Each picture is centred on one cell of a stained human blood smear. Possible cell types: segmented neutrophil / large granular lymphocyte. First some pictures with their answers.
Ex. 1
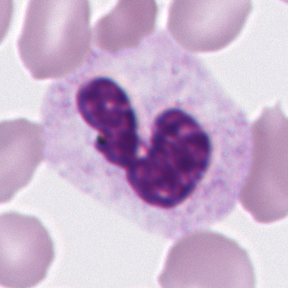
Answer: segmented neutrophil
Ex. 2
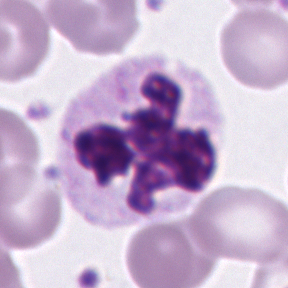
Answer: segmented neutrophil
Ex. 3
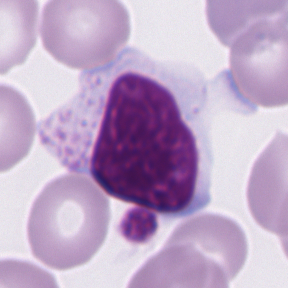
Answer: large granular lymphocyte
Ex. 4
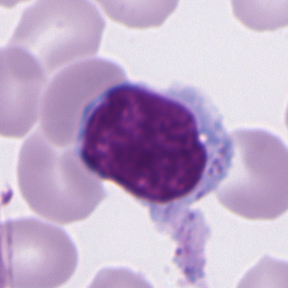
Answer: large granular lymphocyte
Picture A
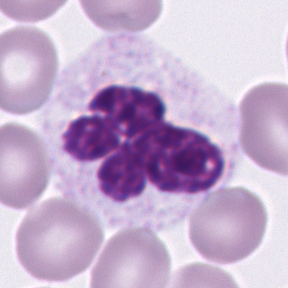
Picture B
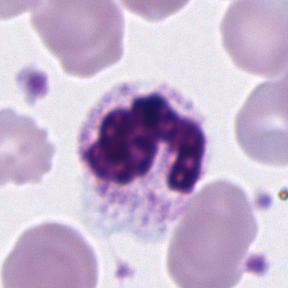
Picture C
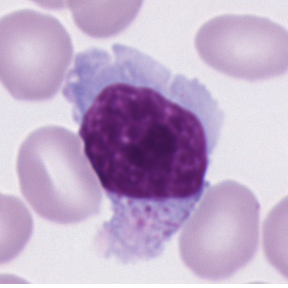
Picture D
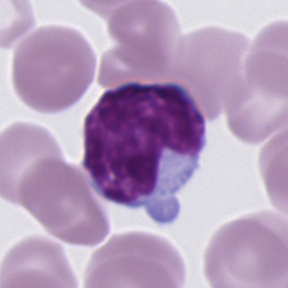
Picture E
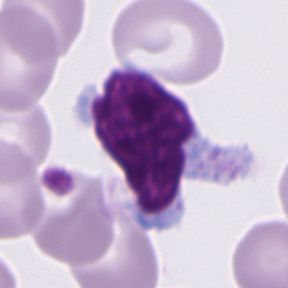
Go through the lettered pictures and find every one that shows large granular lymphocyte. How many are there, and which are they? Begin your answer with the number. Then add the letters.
Count: 3 (C, D, E)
